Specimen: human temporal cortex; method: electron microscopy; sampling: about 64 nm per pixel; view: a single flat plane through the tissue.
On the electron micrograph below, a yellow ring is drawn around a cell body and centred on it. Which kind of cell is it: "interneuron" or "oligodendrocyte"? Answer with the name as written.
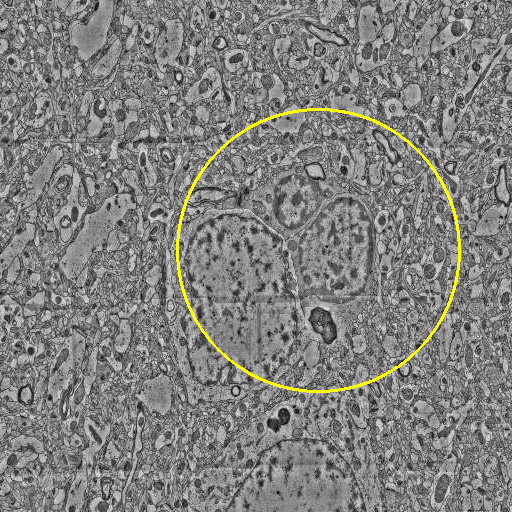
oligodendrocyte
